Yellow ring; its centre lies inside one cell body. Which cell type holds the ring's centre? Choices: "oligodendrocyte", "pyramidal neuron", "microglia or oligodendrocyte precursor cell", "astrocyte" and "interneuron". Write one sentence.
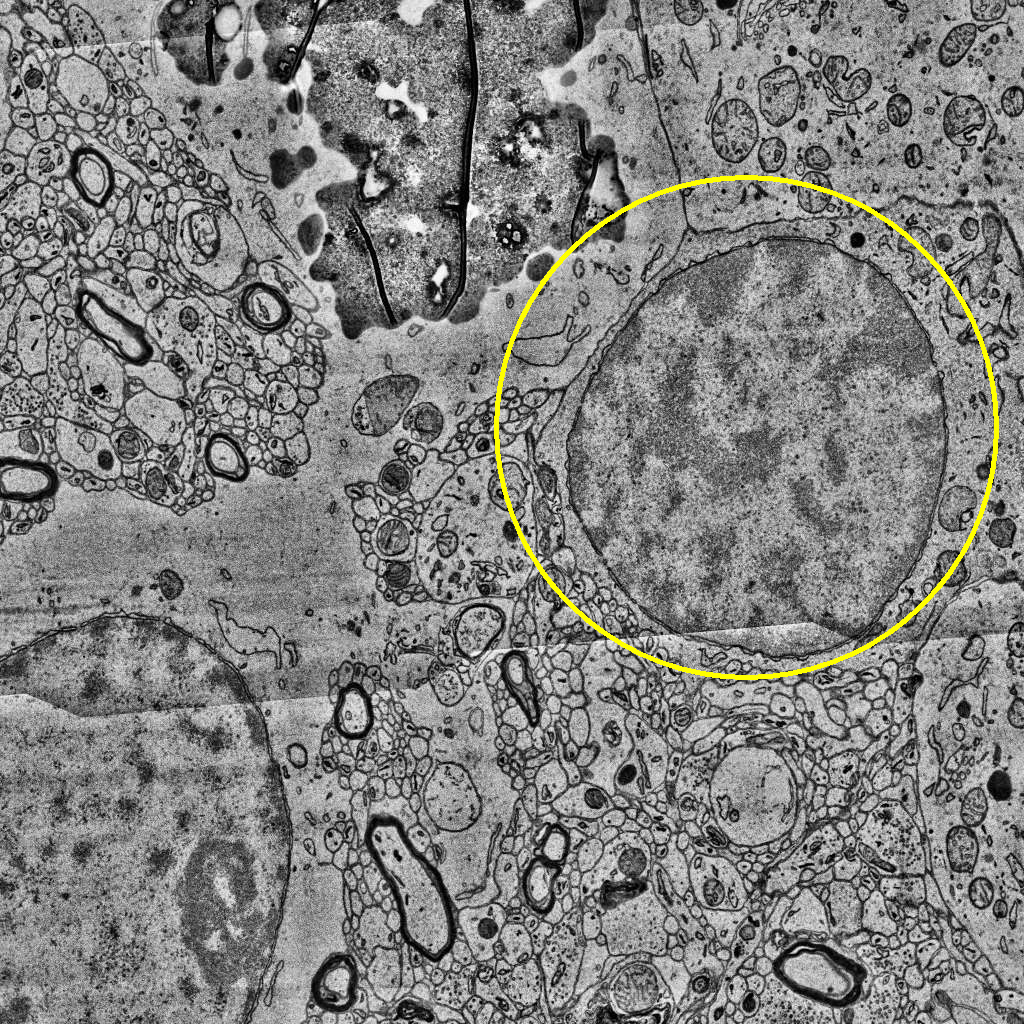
At the centre of the ring sits an oligodendrocyte.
